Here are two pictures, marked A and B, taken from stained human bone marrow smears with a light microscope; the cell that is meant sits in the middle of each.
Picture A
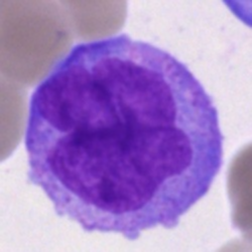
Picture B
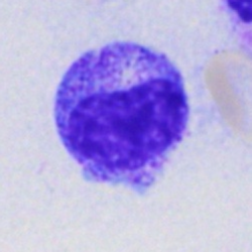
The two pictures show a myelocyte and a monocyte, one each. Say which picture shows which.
A: monocyte
B: myelocyte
